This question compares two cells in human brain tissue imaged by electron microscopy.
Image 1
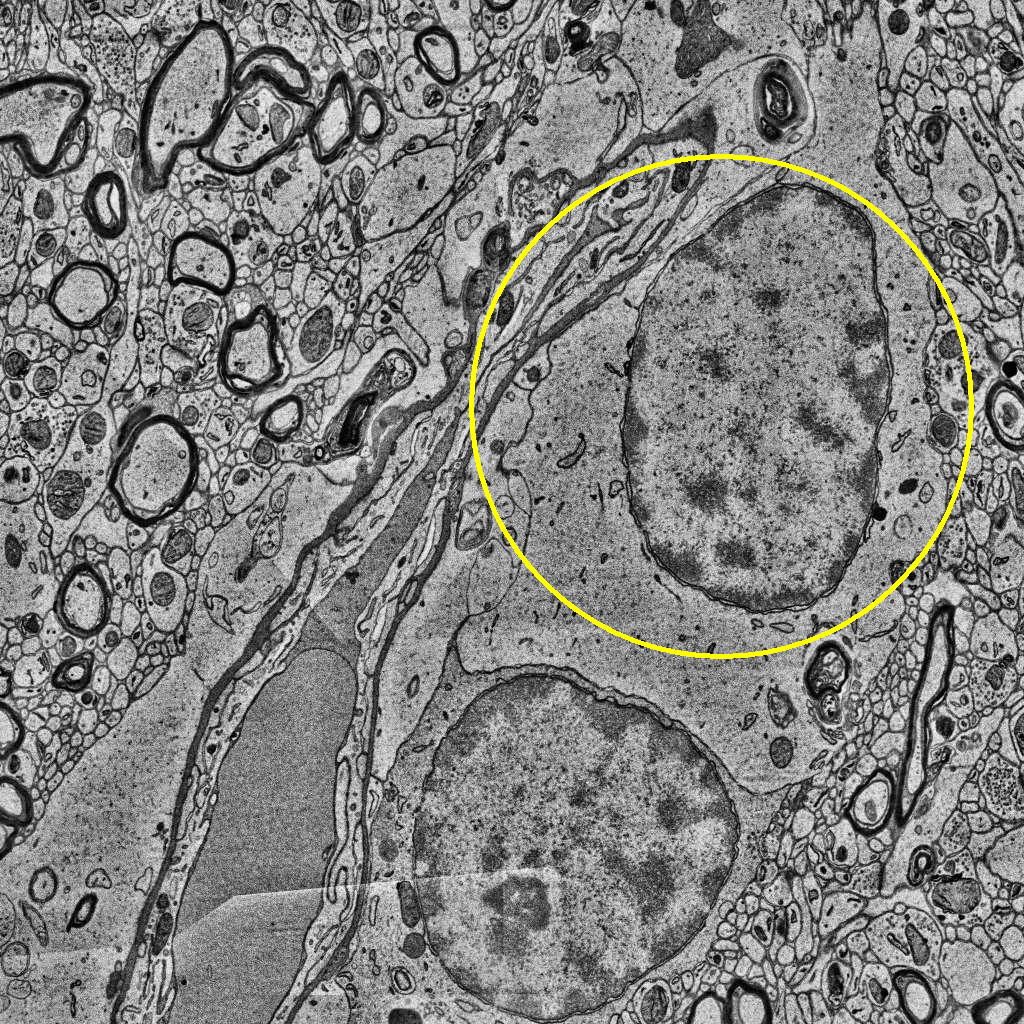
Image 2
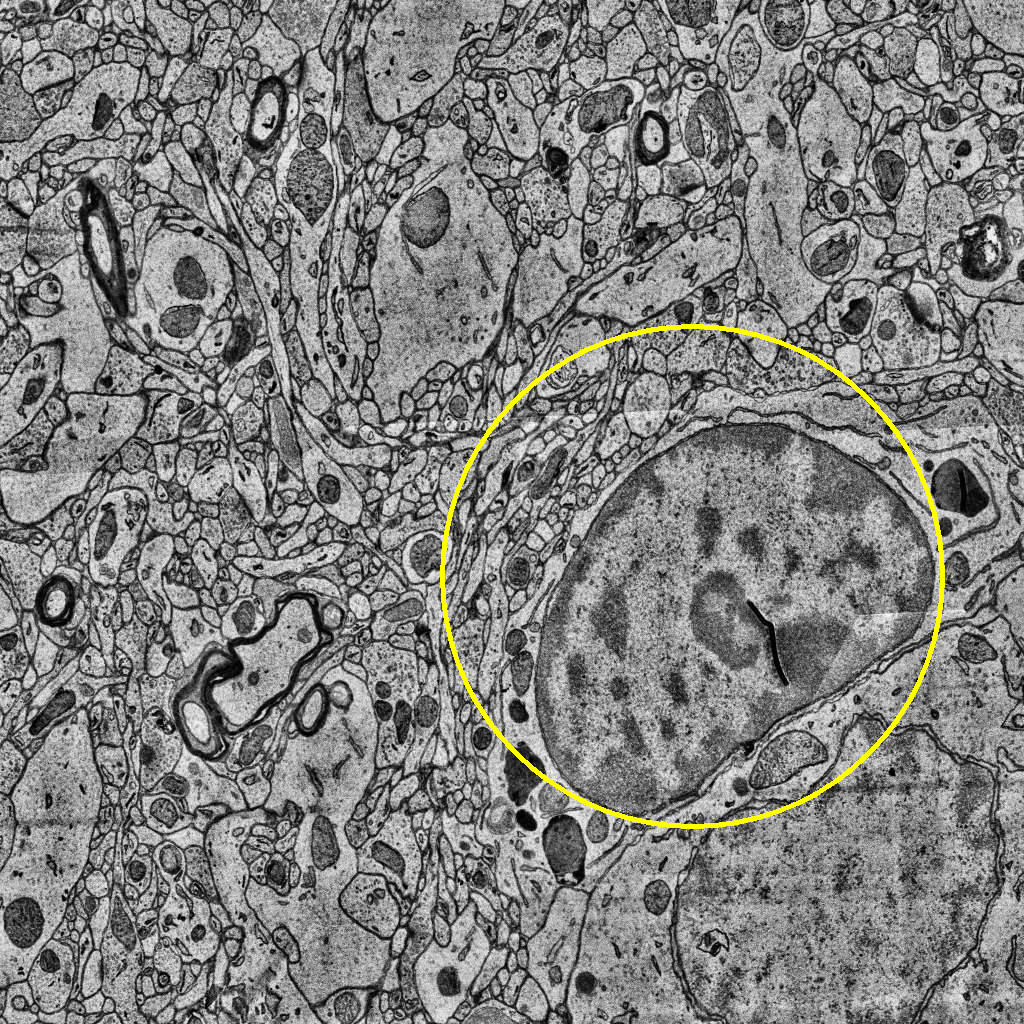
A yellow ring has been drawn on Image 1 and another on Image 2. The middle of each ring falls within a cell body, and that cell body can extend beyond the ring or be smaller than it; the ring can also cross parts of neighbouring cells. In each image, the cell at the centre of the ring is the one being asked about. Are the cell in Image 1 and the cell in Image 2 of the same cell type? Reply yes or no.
yes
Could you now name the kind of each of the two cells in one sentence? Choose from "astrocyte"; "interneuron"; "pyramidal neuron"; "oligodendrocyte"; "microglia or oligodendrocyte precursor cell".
Both rings mark a microglial cell or oligodendrocyte precursor cell, one in each picture.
